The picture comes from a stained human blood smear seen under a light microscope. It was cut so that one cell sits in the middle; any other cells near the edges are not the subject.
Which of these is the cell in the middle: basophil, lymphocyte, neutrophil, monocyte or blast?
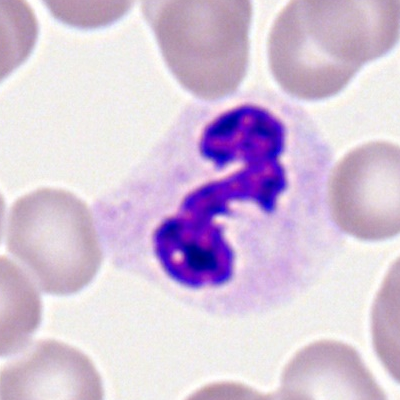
neutrophil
